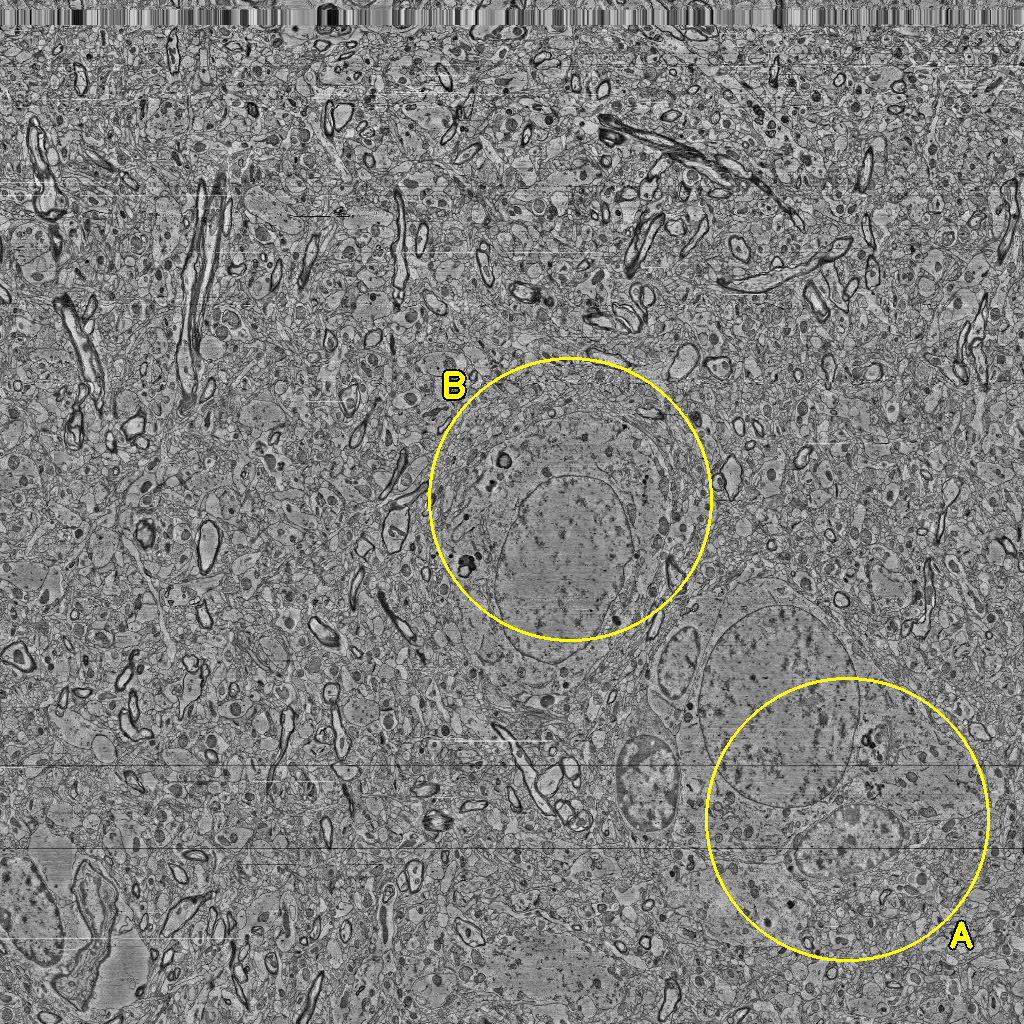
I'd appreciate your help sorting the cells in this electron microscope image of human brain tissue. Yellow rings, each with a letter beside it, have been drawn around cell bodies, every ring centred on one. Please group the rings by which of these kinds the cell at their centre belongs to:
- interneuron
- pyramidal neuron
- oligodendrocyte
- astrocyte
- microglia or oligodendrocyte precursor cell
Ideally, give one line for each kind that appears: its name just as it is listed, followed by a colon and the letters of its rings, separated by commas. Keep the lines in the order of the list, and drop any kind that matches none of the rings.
pyramidal neuron: B
oligodendrocyte: A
